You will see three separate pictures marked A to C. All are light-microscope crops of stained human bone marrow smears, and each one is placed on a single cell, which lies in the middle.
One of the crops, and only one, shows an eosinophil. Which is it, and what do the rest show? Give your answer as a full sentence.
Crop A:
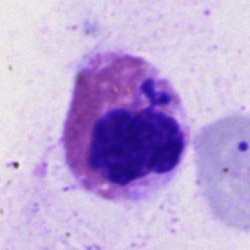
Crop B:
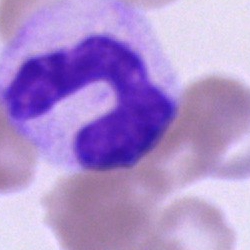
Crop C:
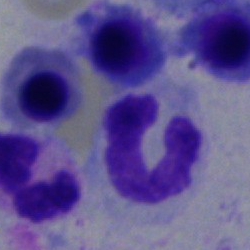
With respect to crop A, the cell is an eosinophil, whereas crop B is a band neutrophil and crop C is a segmented neutrophil.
